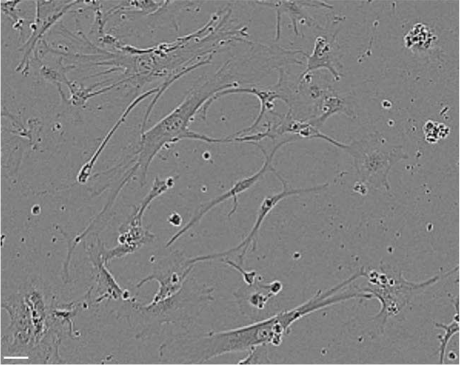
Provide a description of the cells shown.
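These are sparse cultured cells seen without stain. Small bright rounded bodies and granular clumps lie scattered between them.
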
